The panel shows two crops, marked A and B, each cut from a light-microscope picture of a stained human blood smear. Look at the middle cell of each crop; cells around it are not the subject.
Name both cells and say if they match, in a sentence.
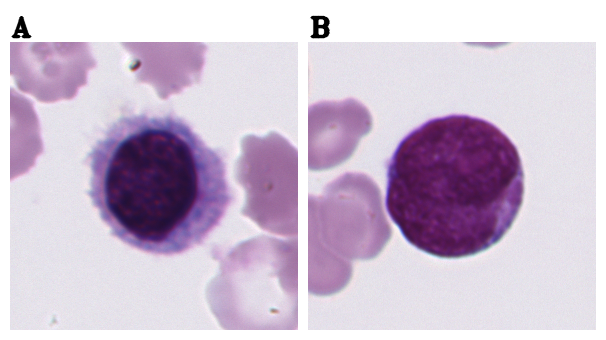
No, a hairy cell occupies the middle of crop A, and a blast the middle of crop B.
